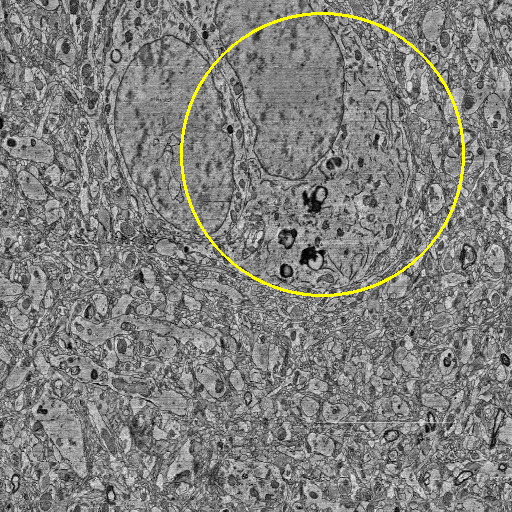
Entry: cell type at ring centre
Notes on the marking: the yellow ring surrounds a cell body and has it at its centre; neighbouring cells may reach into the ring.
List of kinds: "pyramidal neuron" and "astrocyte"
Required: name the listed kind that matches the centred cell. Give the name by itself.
pyramidal neuron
